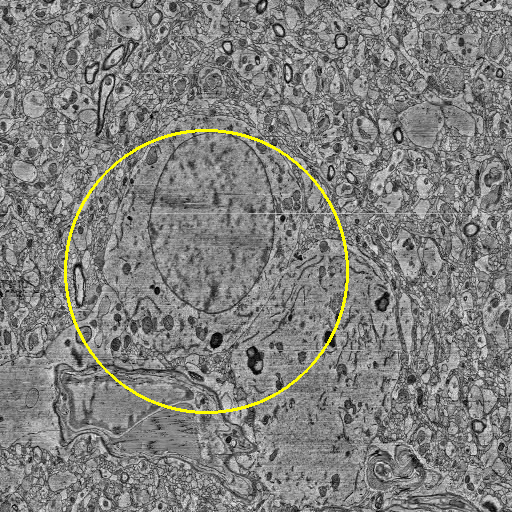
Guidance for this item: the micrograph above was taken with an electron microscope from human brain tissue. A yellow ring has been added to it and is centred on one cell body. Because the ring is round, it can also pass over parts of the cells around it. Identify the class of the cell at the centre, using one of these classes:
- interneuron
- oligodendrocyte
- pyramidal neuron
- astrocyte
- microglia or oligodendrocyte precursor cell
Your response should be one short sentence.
The ring surrounds the body of a pyramidal neuron.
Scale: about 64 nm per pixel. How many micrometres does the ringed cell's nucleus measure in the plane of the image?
Roughly 12 by 8 micrometres in this plane, for the nucleus of the ringed cell.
